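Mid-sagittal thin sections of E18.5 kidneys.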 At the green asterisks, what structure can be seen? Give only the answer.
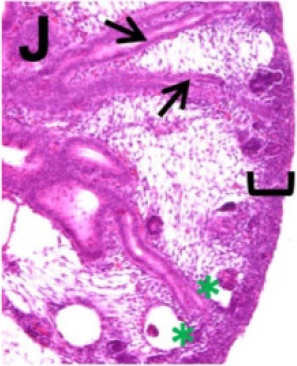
glomeruli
